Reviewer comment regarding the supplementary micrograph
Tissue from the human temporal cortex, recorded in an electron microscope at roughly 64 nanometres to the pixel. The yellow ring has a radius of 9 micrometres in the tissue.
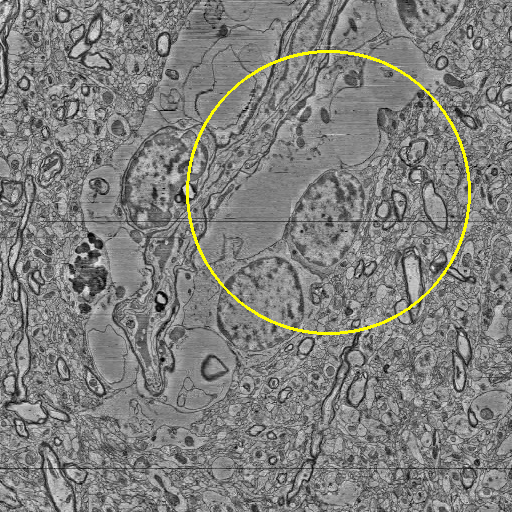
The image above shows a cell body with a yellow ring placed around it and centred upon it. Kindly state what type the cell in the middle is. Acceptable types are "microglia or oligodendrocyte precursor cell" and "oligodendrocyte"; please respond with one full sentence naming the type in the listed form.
In the image above, the cell on which the yellow ring is centred is an oligodendrocyte.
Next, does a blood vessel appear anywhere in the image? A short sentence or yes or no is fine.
Yes, there is a blood vessel in the image.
